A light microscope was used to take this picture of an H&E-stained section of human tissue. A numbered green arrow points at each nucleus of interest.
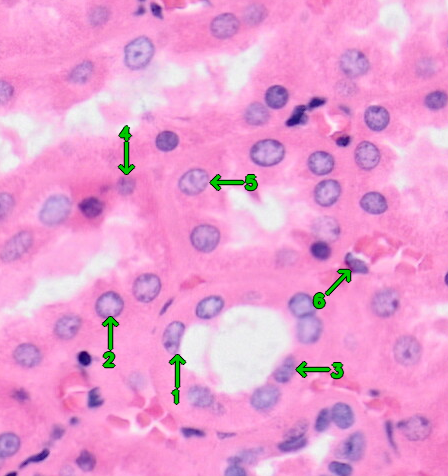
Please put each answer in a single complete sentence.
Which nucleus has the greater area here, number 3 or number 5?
Nucleus 5 is larger, with an area about 1.5 times that of nucleus 3.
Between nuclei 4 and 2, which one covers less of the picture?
The smaller nucleus is 4, and 2 covers roughly 1.5 times its area.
